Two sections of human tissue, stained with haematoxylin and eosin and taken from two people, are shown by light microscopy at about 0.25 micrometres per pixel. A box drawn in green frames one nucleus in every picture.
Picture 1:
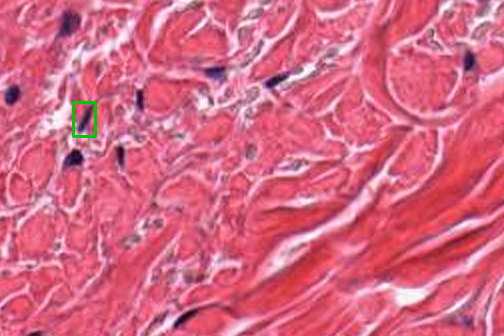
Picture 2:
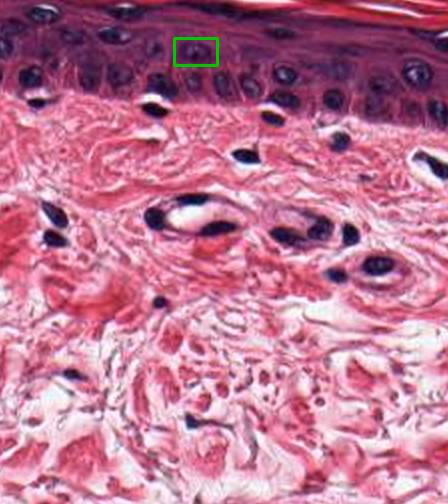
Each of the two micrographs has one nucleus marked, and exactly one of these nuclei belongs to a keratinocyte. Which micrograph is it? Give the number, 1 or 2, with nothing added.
2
